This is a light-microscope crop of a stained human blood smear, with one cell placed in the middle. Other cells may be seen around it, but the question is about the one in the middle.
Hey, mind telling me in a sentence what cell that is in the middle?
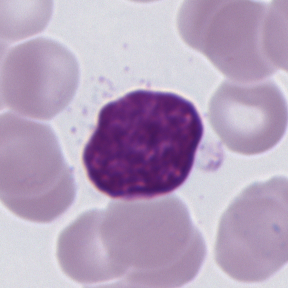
The middle position in this crop is taken by a smudge cell.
